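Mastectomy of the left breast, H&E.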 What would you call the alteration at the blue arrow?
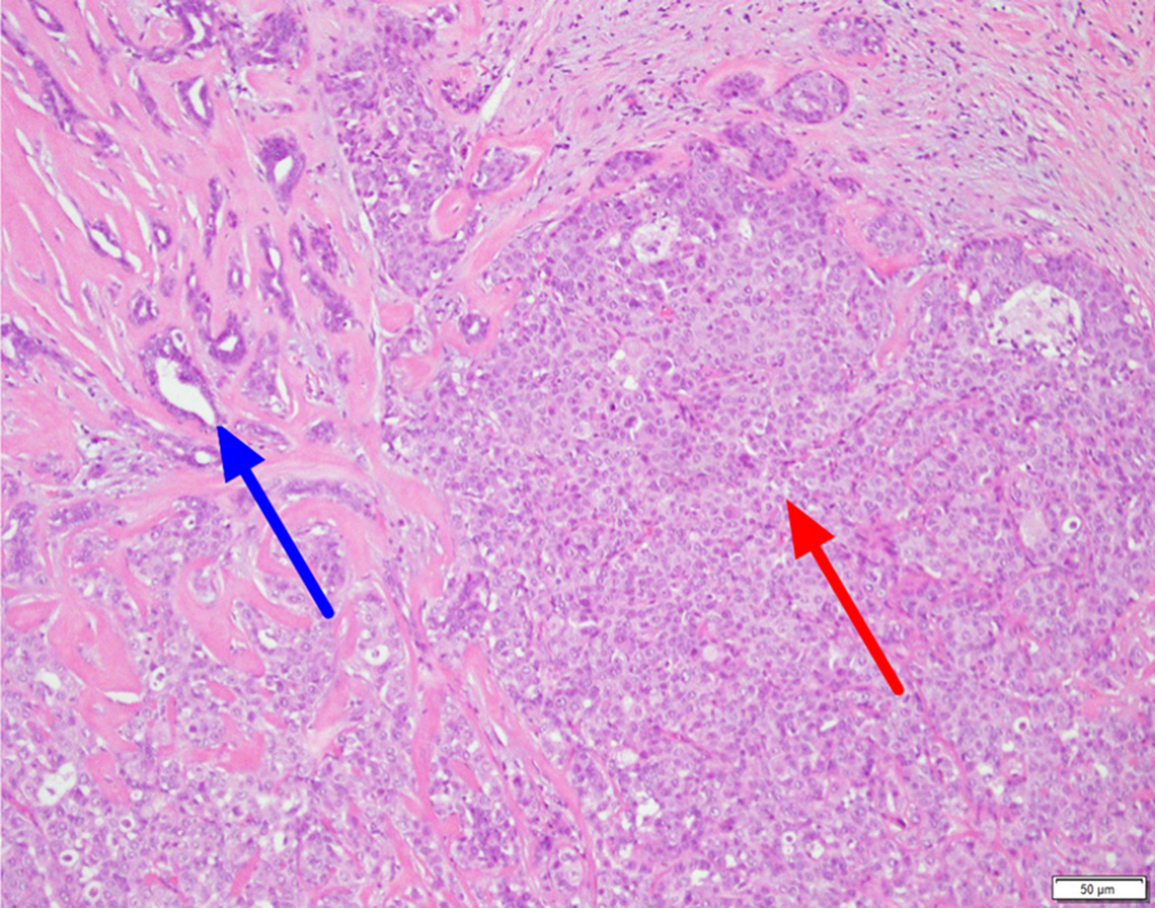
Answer: invasive carcinoma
